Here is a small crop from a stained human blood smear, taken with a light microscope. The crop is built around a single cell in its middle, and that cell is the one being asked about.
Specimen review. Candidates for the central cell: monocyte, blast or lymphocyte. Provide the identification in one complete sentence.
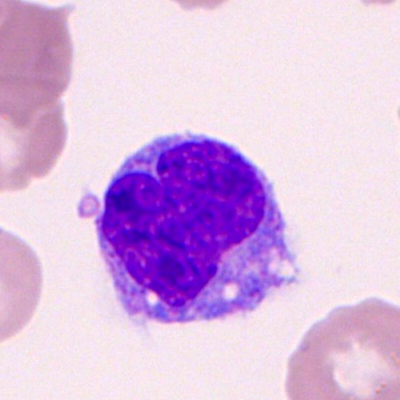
Looking at the middle of the crop, the cell there is a monocyte.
